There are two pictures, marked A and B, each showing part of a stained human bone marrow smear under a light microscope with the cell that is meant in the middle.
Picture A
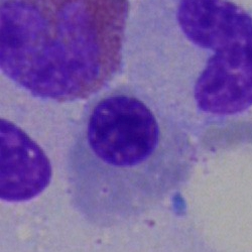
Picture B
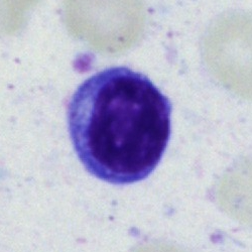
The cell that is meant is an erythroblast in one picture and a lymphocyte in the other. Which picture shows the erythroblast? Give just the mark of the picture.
A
